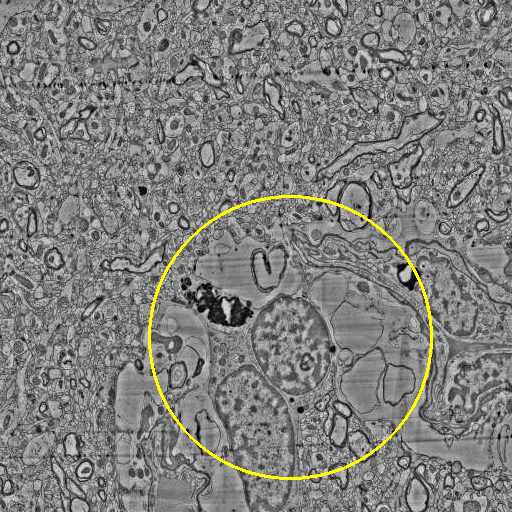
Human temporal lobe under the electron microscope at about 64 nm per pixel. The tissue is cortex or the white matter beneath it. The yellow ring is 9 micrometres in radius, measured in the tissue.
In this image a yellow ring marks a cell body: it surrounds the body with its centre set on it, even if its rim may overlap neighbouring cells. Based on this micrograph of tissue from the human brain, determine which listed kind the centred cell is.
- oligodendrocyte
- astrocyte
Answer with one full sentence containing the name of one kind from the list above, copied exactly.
It is an oligodendrocyte whose body the yellow ring encloses at its centre.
